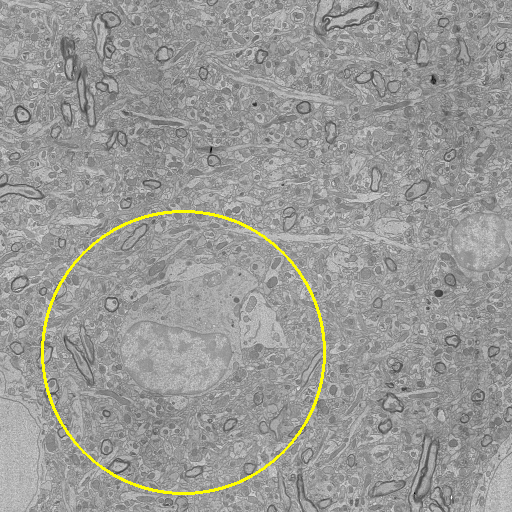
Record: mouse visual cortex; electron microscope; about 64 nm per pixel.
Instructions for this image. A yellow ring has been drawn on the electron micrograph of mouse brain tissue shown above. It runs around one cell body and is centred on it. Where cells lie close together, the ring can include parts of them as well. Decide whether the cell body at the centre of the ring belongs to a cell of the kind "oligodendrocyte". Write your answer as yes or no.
yes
